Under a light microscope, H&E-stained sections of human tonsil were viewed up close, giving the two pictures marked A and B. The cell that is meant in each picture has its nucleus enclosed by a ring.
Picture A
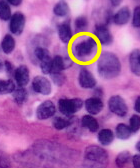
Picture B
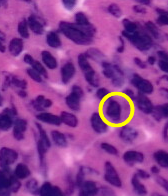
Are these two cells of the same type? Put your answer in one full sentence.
No, the types are not the same, since picture A shows a small lymphocyte and picture B a plasma cell.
